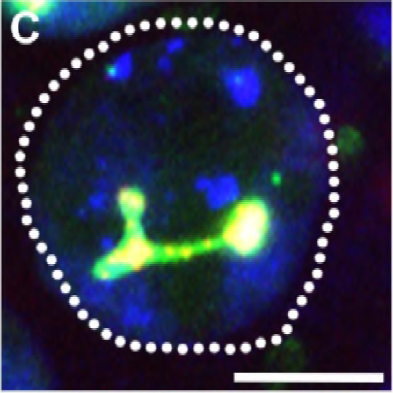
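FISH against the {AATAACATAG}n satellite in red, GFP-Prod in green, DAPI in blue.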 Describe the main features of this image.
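A single large round nucleus, outlined by white dots, holds blue chromatin gathered in several separate patches rather than spread evenly. Across its middle runs a green and yellow bar that ends in two bright rounded masses, one branched and one bulbous. Between the masses the bar thins into a beaded thread where yellow dots line up.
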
